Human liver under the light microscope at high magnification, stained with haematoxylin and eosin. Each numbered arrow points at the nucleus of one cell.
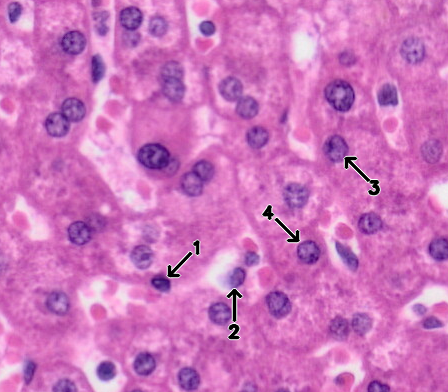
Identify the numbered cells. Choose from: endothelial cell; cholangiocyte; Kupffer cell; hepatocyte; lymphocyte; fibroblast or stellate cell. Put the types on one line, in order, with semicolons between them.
fibroblast or stellate cell; Kupffer cell; hepatocyte; hepatocyte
